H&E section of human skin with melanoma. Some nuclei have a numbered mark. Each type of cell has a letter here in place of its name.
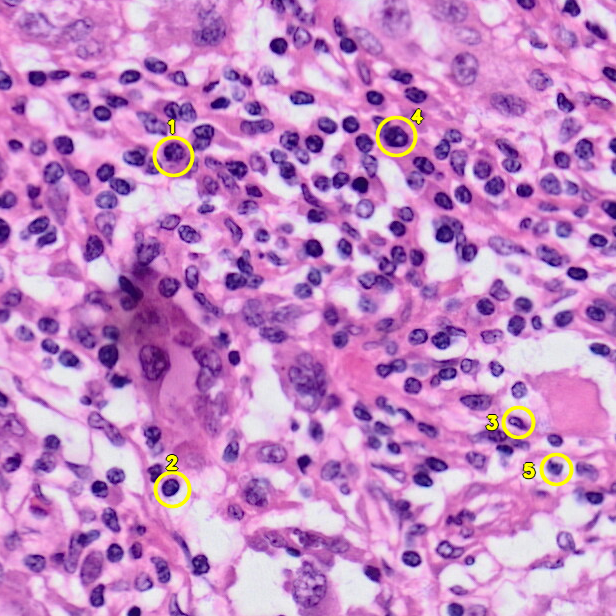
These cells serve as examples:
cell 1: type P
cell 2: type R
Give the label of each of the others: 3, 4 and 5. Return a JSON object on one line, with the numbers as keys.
{"3": "type R", "4": "type P", "5": "type R"}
